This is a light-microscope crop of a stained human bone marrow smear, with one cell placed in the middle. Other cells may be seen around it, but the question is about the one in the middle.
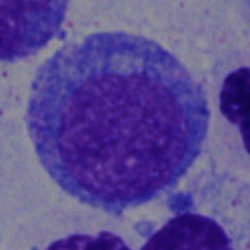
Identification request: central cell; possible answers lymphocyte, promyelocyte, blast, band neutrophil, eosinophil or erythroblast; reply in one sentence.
The cell of interest, located centrally, is a promyelocyte.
